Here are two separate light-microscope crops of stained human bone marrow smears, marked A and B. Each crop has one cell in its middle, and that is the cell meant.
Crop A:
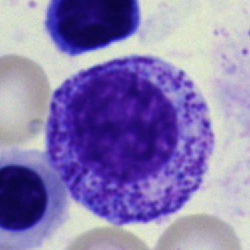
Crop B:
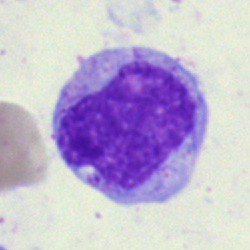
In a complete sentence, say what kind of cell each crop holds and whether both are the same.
No, crop A should be called a myelocyte, and crop B should be called a monocyte.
